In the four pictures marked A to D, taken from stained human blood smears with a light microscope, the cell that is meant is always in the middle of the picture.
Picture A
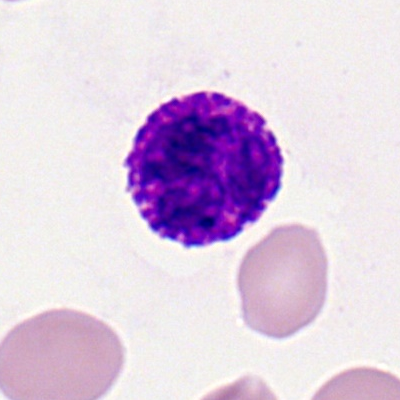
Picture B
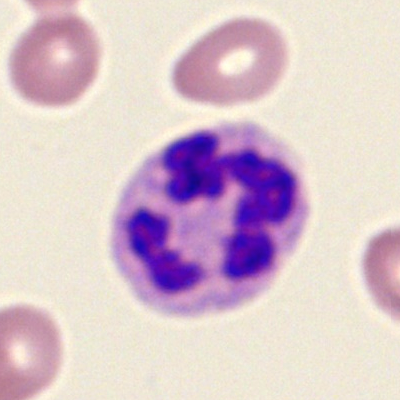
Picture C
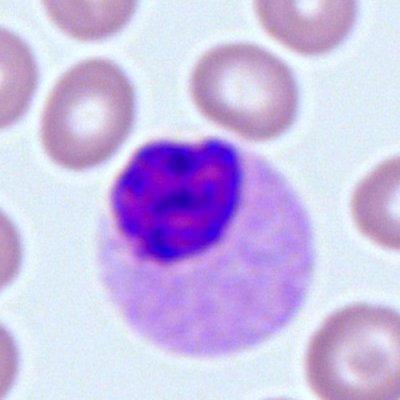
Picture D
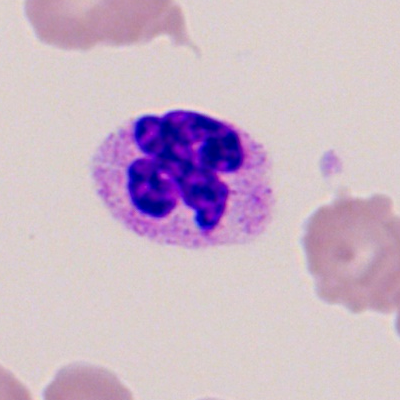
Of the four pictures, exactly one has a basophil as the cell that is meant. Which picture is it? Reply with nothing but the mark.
A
